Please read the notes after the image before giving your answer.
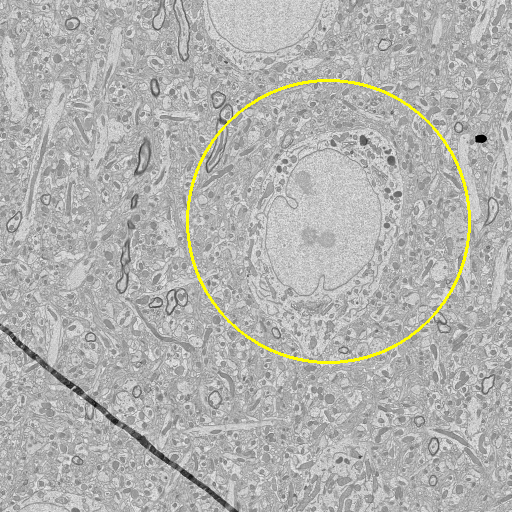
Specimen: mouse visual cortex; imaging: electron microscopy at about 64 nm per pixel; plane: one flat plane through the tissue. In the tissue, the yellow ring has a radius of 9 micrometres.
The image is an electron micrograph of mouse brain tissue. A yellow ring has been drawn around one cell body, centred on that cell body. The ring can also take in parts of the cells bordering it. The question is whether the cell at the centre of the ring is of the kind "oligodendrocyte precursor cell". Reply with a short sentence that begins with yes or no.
No, the cell at the centre is of another kind.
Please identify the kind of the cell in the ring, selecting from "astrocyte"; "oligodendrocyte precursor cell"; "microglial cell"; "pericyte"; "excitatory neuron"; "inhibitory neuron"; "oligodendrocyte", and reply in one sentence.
Instead, the cell at the centre of the yellow ring is an inhibitory neuron.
